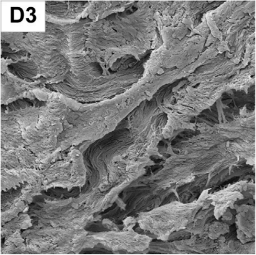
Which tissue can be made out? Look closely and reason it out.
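Wavy bundles of fine fibres fill the field. Fibres run in layered, roughly parallel sheets.
Conclusion: connective tissue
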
